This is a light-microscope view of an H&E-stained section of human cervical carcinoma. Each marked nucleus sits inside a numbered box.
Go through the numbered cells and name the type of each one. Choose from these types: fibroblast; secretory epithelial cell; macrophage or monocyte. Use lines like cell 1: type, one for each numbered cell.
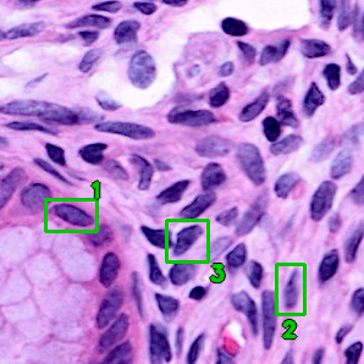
cell 1: secretory epithelial cell
cell 2: fibroblast
cell 3: fibroblast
